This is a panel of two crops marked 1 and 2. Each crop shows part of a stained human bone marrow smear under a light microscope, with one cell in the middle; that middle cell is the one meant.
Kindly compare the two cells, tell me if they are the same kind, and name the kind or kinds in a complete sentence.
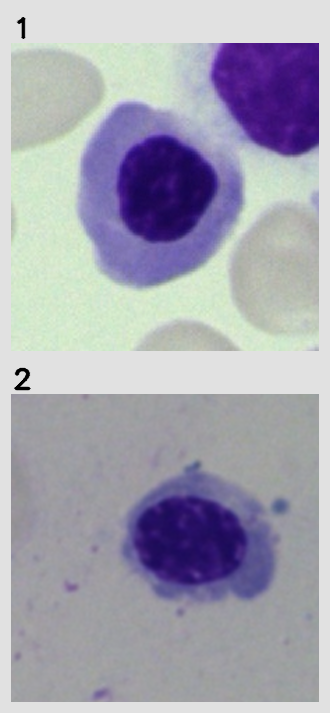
Yes, both crops do show normoblasts in the middle.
